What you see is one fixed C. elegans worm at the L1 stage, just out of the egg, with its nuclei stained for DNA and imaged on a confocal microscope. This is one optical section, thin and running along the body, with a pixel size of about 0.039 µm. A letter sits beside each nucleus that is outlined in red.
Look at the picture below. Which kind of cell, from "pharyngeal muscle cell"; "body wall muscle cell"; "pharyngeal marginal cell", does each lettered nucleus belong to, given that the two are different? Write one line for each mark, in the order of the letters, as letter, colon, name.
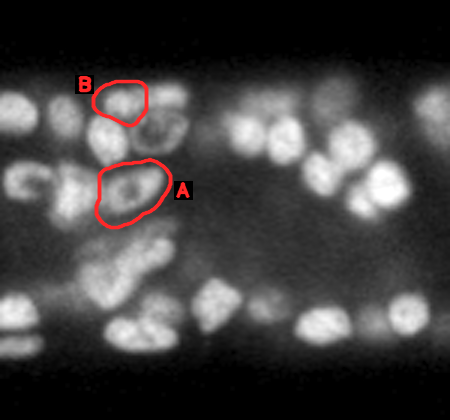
A: pharyngeal marginal cell
B: body wall muscle cell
